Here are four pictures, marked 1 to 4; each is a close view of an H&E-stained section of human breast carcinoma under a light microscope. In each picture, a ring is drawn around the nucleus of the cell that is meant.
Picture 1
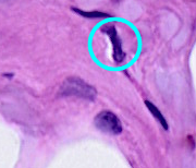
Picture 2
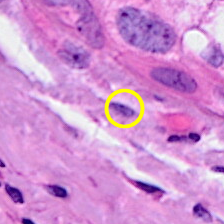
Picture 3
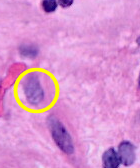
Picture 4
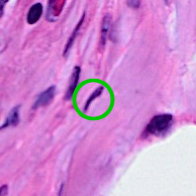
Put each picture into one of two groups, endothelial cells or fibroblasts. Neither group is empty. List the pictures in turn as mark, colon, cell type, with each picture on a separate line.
1: fibroblast
2: fibroblast
3: endothelial cell
4: fibroblast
